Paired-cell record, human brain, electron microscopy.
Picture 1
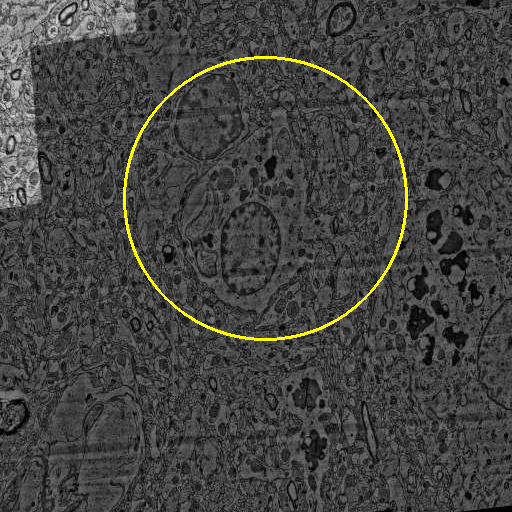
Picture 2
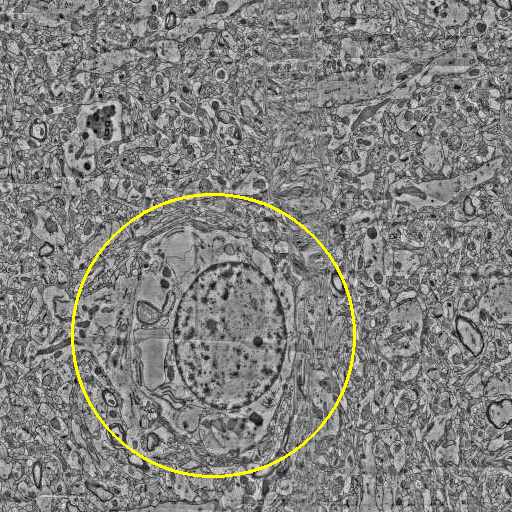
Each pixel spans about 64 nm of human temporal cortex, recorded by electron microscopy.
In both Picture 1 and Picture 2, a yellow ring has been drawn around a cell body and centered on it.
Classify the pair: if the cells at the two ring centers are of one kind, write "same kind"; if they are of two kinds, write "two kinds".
same kind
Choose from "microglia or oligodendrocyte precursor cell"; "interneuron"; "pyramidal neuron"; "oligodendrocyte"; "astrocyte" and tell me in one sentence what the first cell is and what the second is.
Both the first and the second picture show an astrocyte in the ring.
